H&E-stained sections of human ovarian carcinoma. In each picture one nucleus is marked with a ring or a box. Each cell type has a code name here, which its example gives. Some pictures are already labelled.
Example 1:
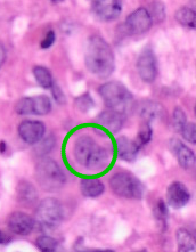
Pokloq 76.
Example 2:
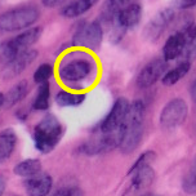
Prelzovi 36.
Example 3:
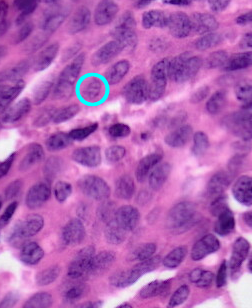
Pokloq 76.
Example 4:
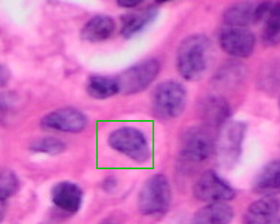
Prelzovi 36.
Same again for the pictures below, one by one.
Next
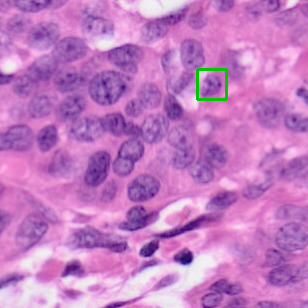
Prelzovi 36.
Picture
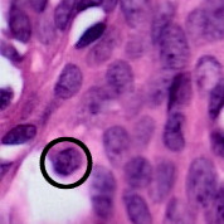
Prelzovi 36.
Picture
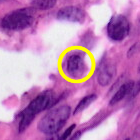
Prelzovi 36.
